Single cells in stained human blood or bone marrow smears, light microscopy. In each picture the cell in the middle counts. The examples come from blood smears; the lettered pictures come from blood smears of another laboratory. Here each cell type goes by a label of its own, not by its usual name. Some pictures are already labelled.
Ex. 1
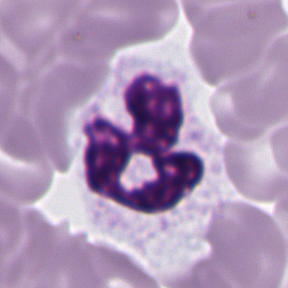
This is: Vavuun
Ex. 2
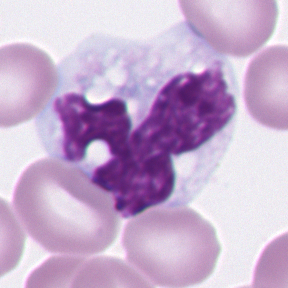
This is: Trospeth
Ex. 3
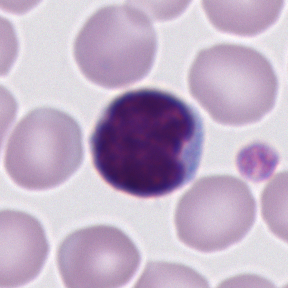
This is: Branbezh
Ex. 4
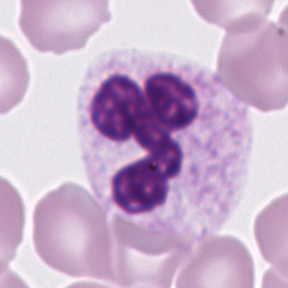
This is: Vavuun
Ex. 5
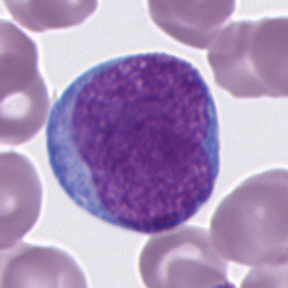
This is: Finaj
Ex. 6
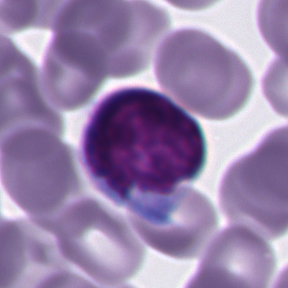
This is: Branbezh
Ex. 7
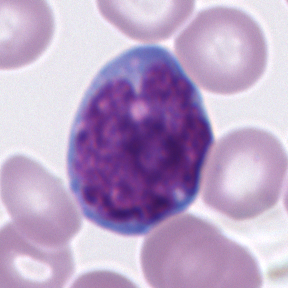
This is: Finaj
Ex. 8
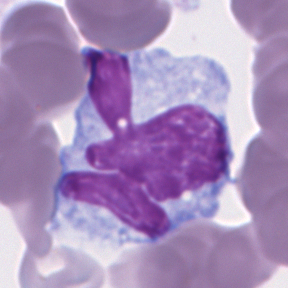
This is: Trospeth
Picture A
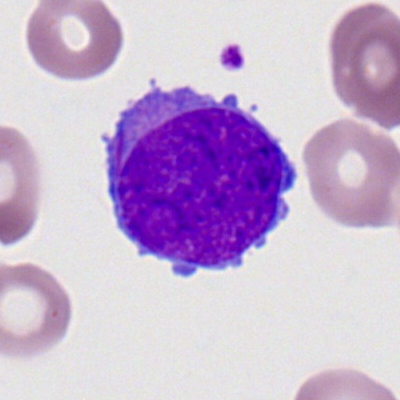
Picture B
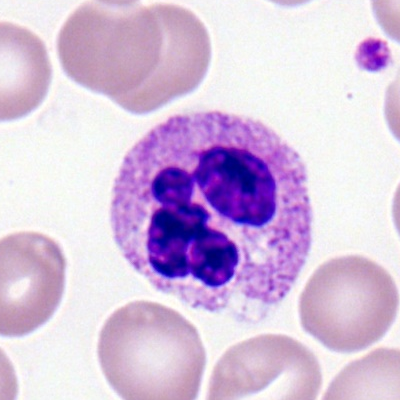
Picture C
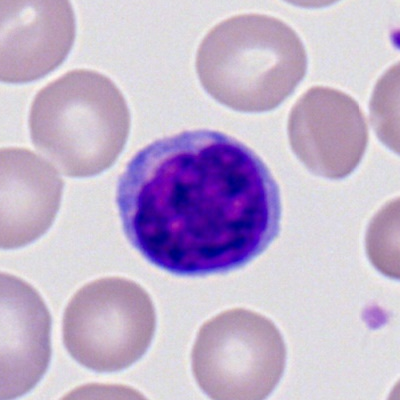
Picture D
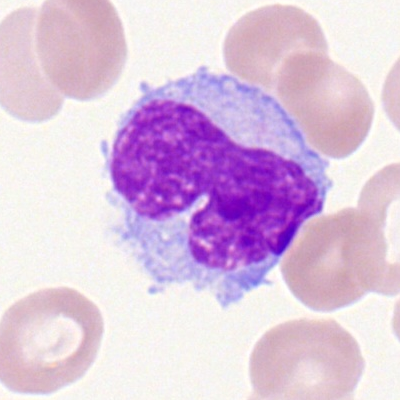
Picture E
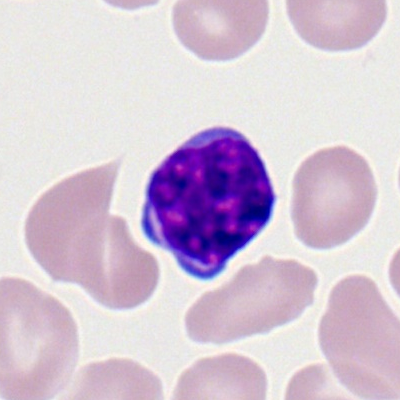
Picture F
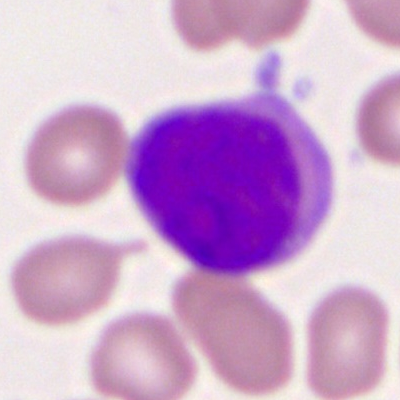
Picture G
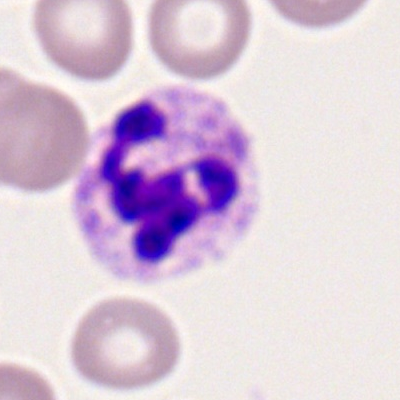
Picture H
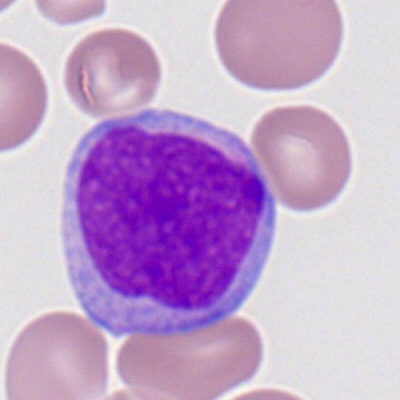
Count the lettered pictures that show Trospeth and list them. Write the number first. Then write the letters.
1: D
